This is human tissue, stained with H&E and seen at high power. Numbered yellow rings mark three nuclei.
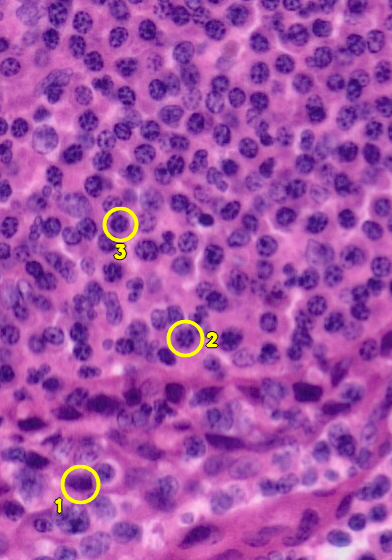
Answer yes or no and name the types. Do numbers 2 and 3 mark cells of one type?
Yes, along with cell 2, cell 3 is also among the plasma cells.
